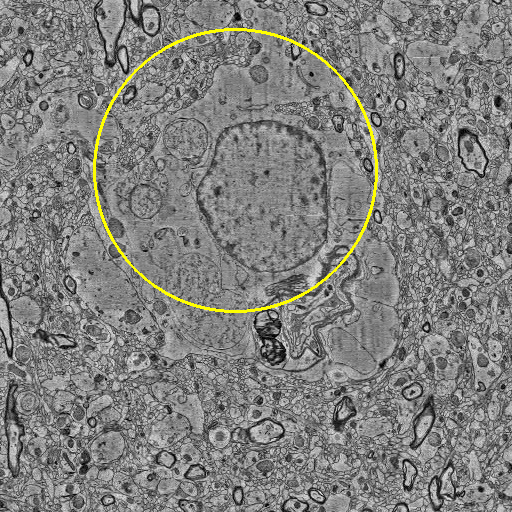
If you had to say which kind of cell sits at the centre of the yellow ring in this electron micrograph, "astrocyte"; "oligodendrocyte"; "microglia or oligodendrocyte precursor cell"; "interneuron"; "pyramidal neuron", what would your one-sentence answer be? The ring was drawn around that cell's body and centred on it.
The cell sitting at the centre of the ring is an astrocyte.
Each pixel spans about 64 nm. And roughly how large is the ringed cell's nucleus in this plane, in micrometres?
In this plane, the nucleus is roughly 10 by 8 micrometres.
